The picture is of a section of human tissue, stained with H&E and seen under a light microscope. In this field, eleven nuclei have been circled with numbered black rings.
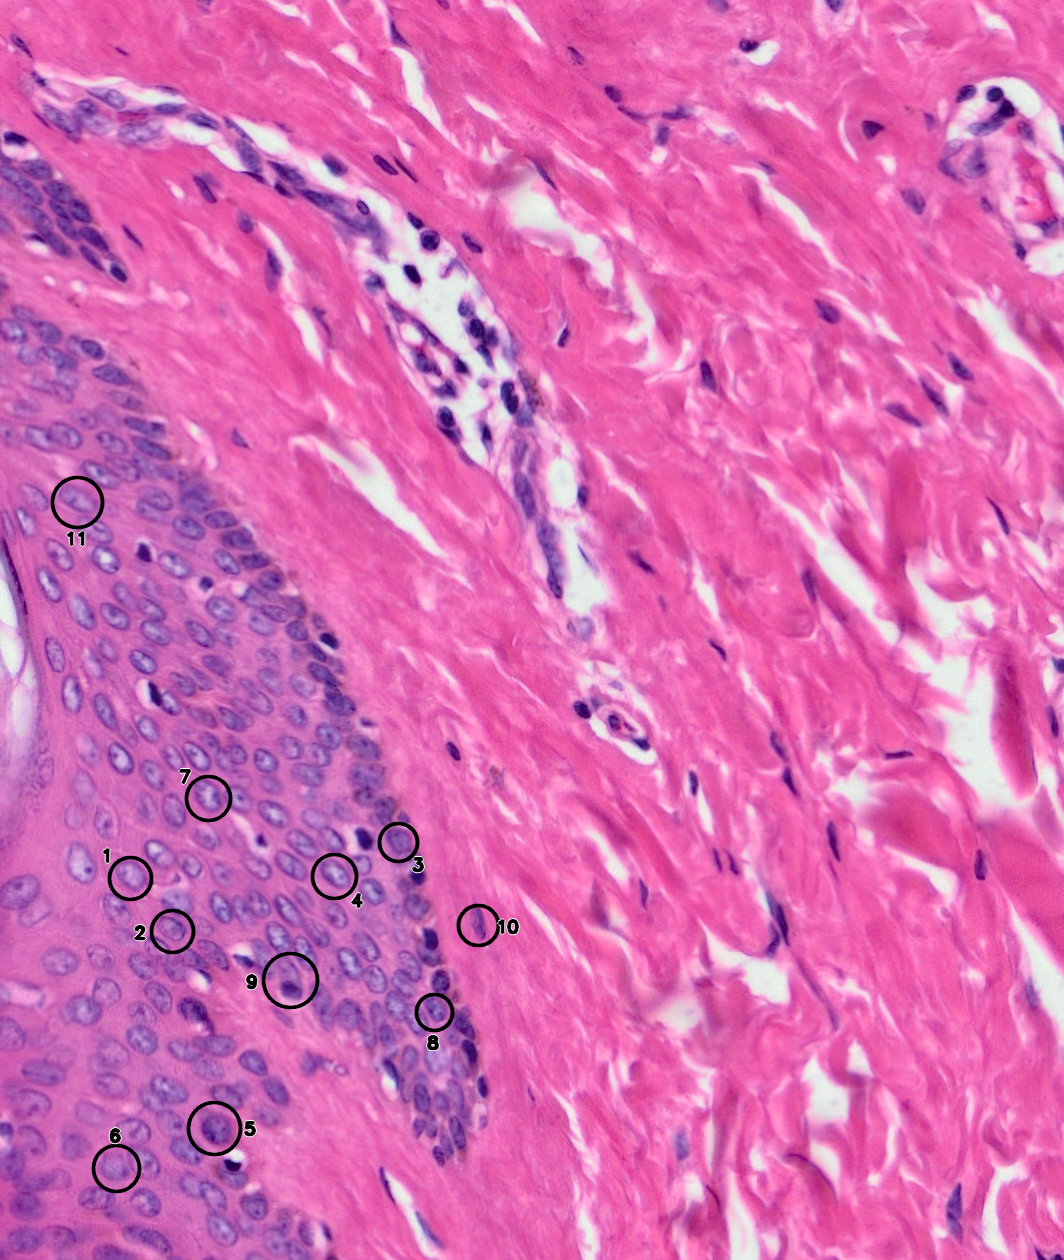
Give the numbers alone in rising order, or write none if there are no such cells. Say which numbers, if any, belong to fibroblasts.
10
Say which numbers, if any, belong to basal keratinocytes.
3, 5, 8, 9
